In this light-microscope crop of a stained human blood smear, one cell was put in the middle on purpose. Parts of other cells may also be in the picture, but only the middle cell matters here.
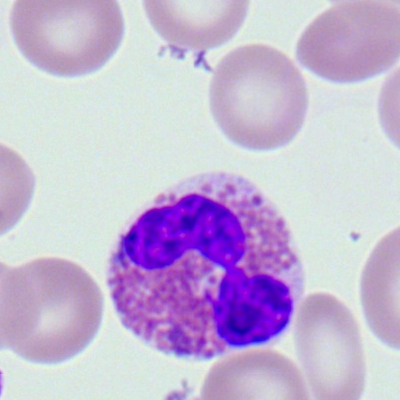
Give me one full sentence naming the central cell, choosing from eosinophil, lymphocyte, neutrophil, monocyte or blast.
The middle cell in this particular crop is an eosinophil.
